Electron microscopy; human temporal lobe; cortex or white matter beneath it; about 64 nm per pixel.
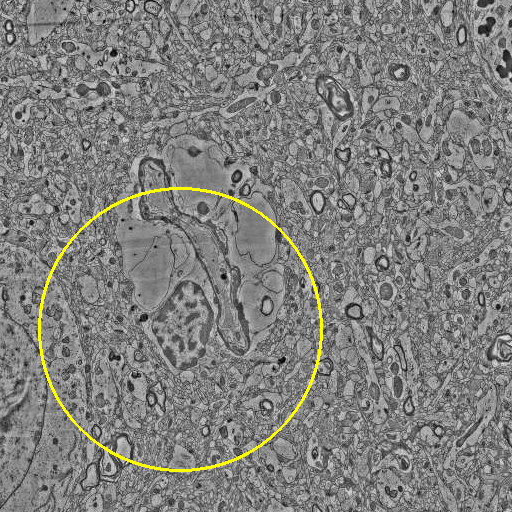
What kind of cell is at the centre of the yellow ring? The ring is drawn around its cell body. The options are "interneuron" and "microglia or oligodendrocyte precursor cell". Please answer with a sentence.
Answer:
The yellow ring marks the cell body of a microglial cell or oligodendrocyte precursor cell.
